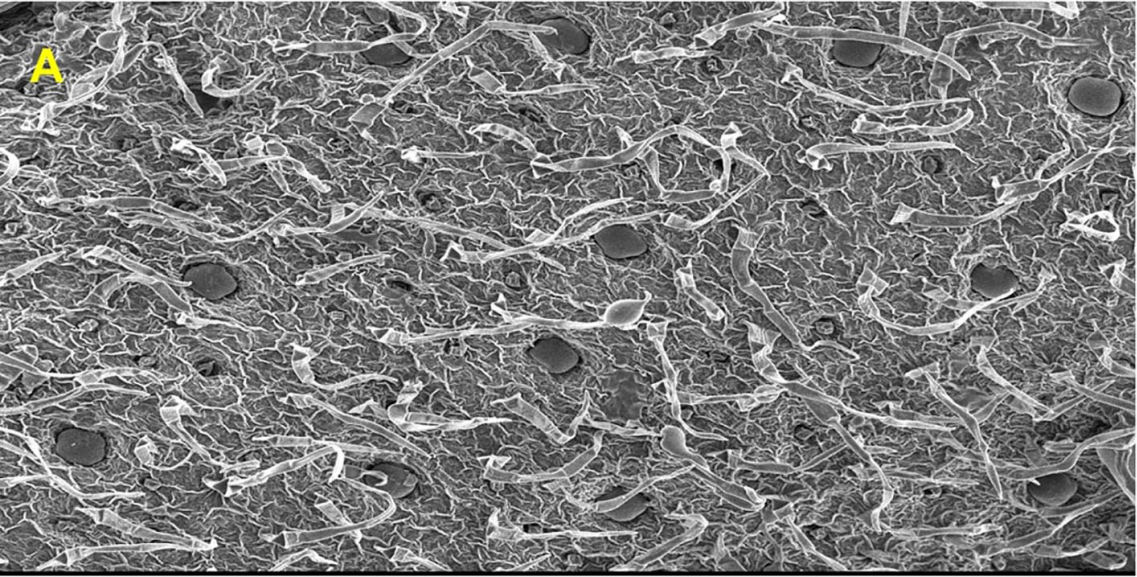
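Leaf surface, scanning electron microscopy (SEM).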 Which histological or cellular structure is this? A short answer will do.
Trichomes.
